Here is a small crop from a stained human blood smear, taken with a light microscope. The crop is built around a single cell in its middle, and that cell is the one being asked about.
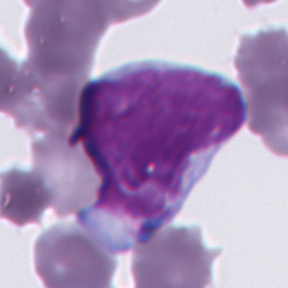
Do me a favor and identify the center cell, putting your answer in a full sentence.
The cell the crop is centered on is a blast.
